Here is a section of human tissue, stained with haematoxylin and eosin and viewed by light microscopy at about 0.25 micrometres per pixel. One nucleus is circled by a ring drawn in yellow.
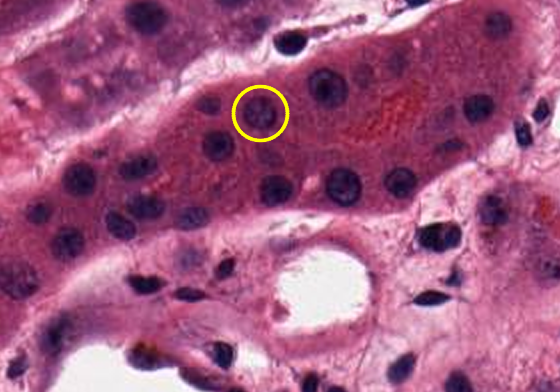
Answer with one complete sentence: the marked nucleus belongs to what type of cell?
The marked nucleus, in this picture, belongs to a proximal tubule cell.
